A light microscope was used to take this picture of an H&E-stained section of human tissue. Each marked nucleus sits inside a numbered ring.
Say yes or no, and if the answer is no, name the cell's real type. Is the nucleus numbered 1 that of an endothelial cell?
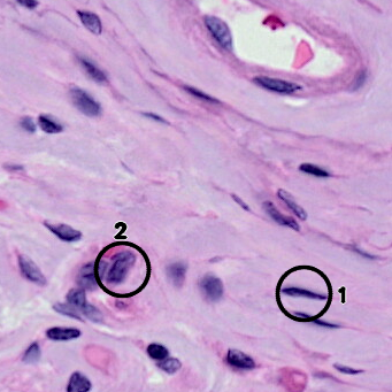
No, it is a fibroblast.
